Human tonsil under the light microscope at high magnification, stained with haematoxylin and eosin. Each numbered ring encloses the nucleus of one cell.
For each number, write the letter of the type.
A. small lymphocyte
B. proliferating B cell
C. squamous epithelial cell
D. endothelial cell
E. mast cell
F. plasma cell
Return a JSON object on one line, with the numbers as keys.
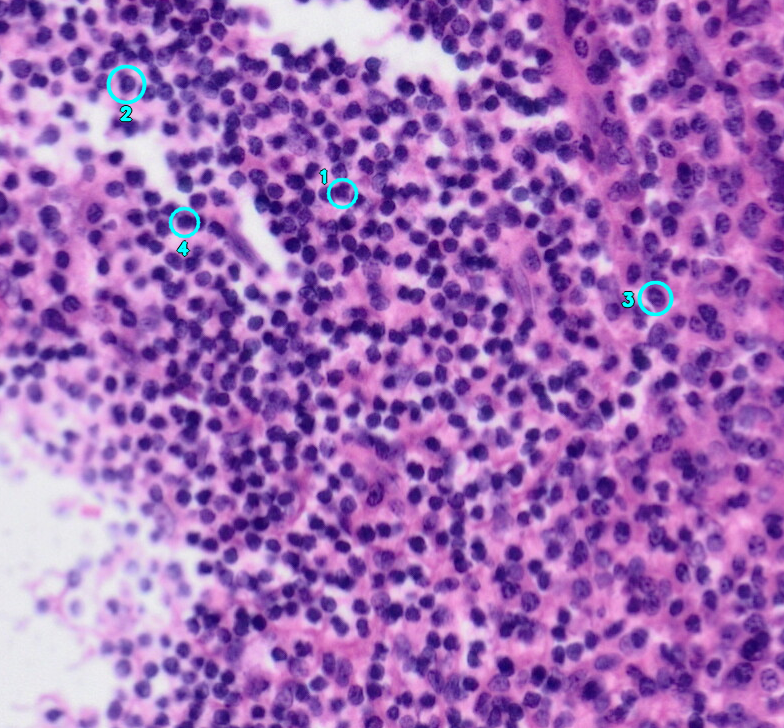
{"1": "A", "2": "A", "3": "F", "4": "A"}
